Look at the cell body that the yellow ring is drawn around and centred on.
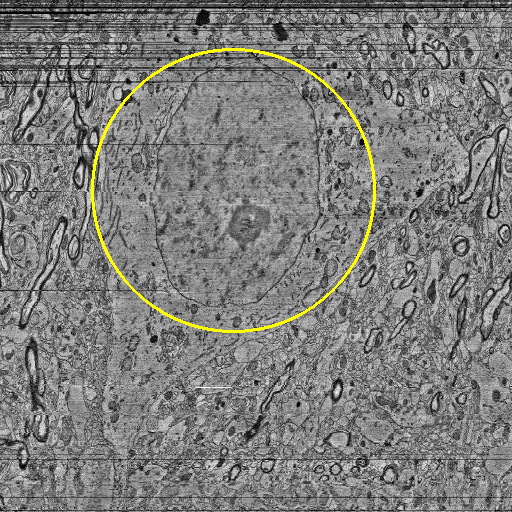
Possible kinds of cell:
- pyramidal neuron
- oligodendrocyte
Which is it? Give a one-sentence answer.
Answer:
The centred cell body is that of a pyramidal neuron.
